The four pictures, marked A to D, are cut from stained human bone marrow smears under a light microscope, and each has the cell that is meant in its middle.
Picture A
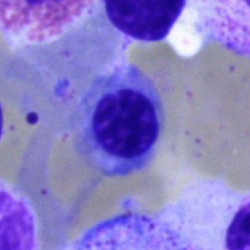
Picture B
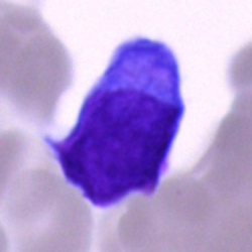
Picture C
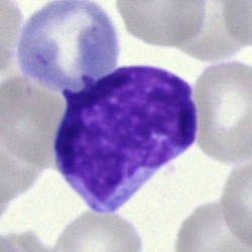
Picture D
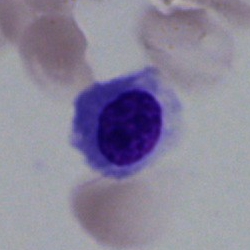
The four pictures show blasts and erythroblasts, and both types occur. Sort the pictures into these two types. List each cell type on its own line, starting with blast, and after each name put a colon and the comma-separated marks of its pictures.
blast: B, C
erythroblast: A, D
